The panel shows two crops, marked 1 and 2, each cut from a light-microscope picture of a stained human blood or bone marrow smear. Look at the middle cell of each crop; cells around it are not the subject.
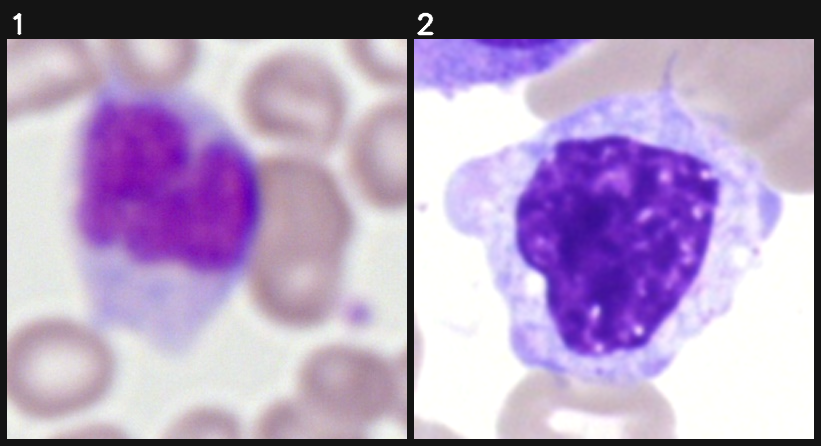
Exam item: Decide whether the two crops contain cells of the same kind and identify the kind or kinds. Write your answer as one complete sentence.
Yes, the reply for both crops is monocytes.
